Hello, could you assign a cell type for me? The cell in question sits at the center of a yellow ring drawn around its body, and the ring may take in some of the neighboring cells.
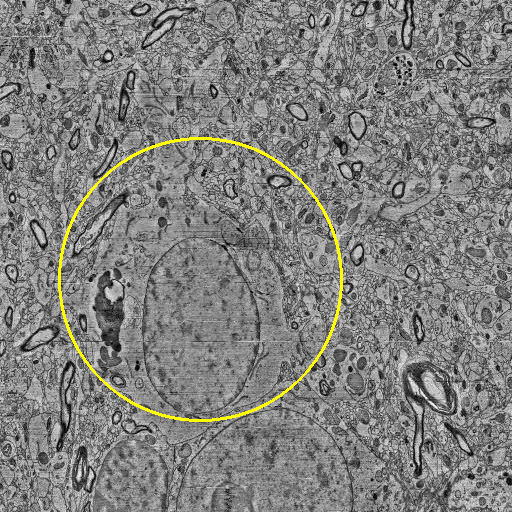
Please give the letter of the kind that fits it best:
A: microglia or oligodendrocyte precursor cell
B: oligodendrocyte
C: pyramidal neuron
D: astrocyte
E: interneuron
D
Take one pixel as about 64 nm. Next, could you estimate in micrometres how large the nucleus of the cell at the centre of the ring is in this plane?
The nucleus of the ringed cell is clearly longer than it is wide in this plane, about 12 by 8 micrometres.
